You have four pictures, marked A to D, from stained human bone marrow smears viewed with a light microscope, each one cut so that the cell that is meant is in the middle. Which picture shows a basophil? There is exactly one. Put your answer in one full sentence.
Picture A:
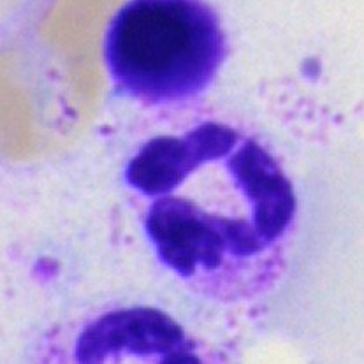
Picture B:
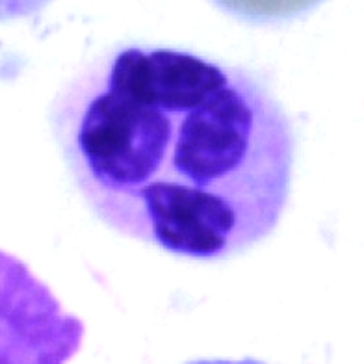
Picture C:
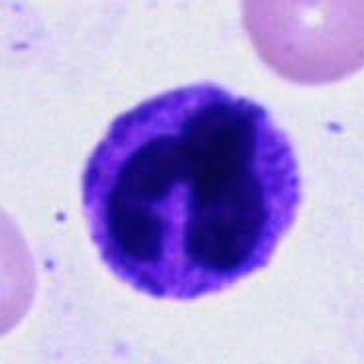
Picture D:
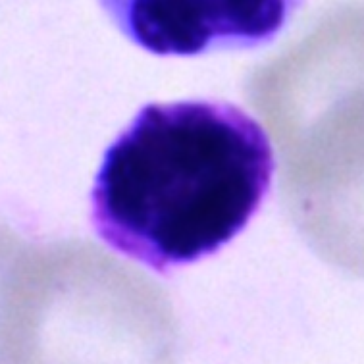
It is picture D that shows the basophil.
